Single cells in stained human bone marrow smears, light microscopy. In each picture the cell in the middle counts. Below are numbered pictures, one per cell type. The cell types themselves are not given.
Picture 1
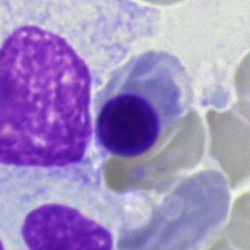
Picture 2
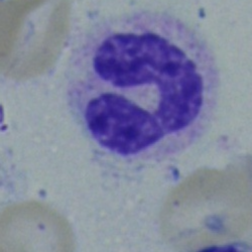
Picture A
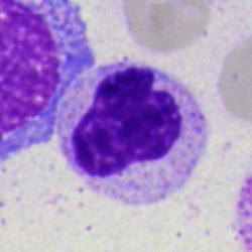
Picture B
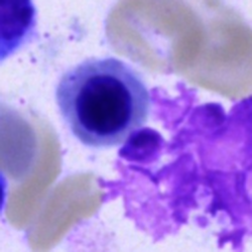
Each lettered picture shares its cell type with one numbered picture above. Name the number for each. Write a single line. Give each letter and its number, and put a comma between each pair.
A 2, B 1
